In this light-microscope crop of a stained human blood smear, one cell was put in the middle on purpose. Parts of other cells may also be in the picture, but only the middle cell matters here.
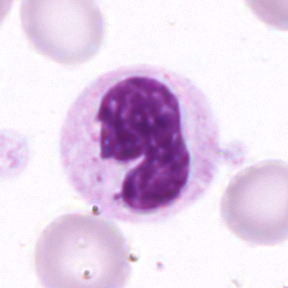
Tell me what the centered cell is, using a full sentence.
In the central position of this crop, the cell is a band neutrophil.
